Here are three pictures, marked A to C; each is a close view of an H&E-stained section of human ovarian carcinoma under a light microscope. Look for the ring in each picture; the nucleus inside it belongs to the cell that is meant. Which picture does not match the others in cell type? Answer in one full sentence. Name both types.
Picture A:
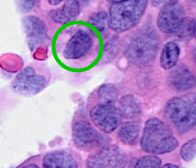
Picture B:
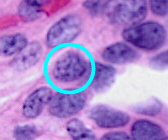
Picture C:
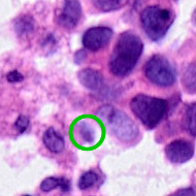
All pictures except C show carcinoma cells; picture C shows a “macrophage or monocyte”.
